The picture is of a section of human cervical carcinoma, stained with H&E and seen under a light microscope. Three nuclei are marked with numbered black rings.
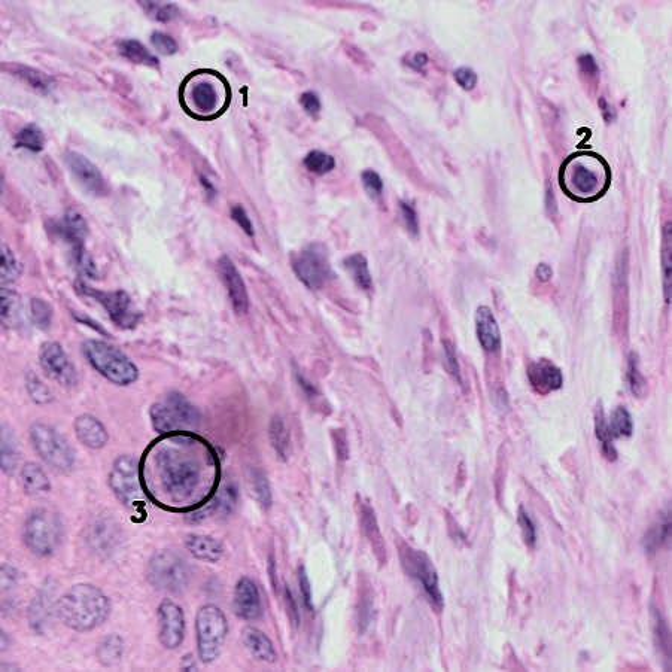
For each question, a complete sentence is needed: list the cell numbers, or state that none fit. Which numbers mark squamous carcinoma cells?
Among the marked cells, a squamous carcinoma cell is found only at number 3.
